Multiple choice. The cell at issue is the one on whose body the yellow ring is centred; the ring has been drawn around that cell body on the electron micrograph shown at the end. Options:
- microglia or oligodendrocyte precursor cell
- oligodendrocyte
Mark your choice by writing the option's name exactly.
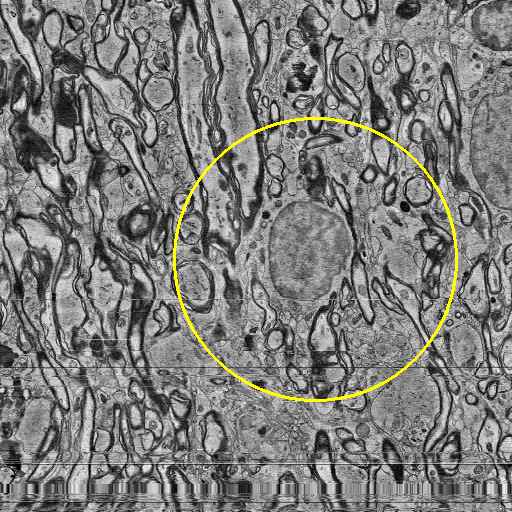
oligodendrocyte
